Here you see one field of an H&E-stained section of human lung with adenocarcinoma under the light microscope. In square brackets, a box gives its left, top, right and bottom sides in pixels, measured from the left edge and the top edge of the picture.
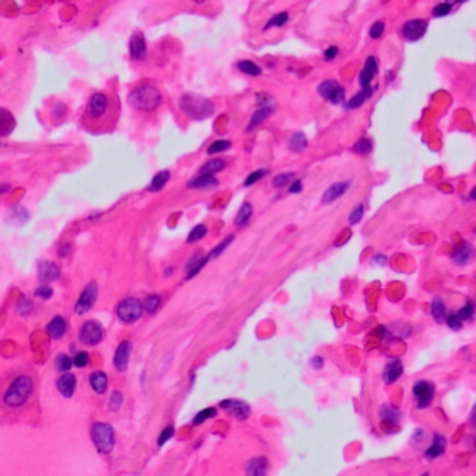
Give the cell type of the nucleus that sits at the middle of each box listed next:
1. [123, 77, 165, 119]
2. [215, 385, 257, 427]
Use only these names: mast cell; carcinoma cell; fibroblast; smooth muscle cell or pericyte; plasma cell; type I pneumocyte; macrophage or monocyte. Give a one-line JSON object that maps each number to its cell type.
{"1": "macrophage or monocyte", "2": "type I pneumocyte"}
